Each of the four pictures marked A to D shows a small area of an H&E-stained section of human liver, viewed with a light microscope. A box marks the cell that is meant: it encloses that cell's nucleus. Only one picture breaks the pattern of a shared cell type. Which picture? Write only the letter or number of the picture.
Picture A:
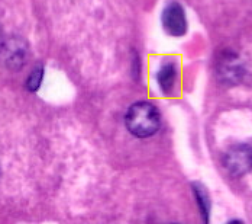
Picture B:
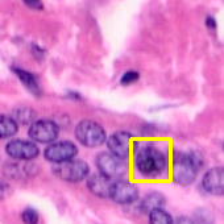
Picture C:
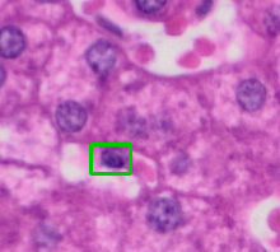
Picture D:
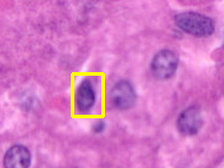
B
